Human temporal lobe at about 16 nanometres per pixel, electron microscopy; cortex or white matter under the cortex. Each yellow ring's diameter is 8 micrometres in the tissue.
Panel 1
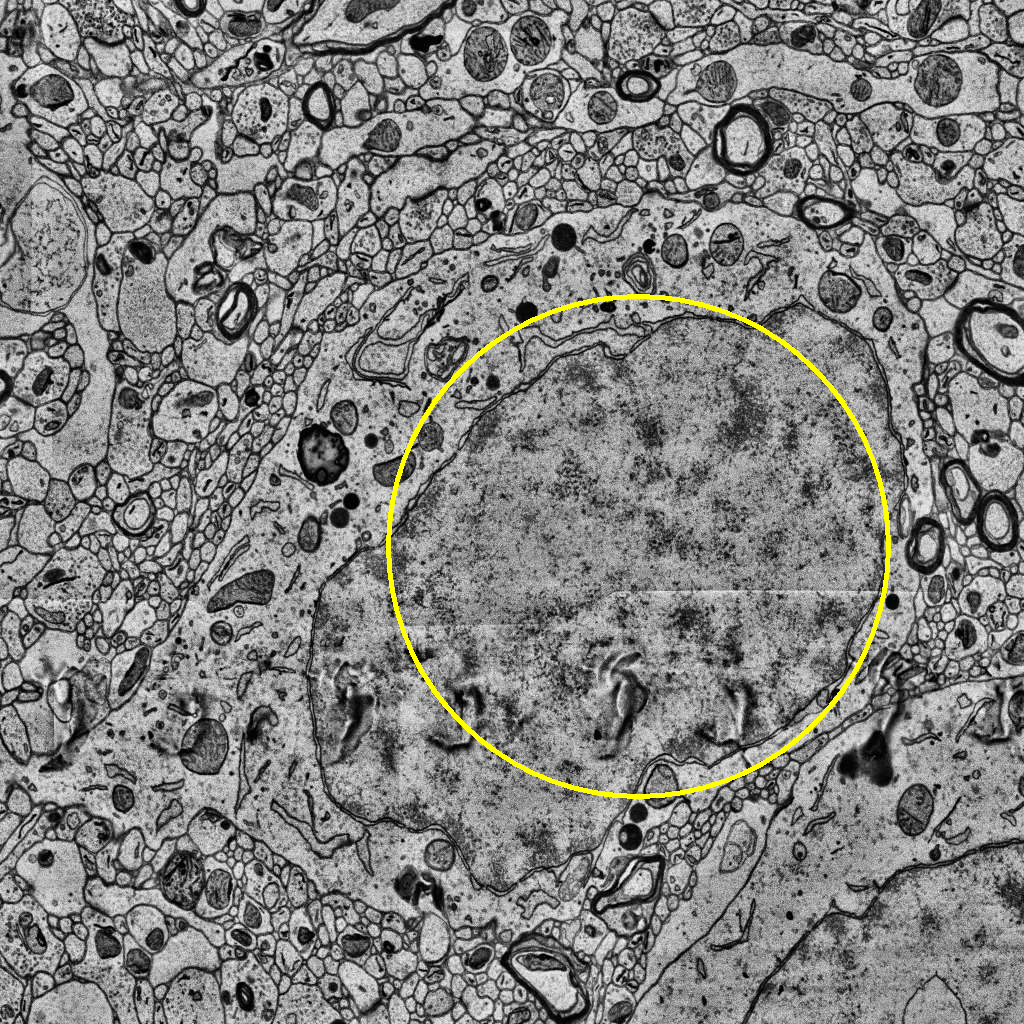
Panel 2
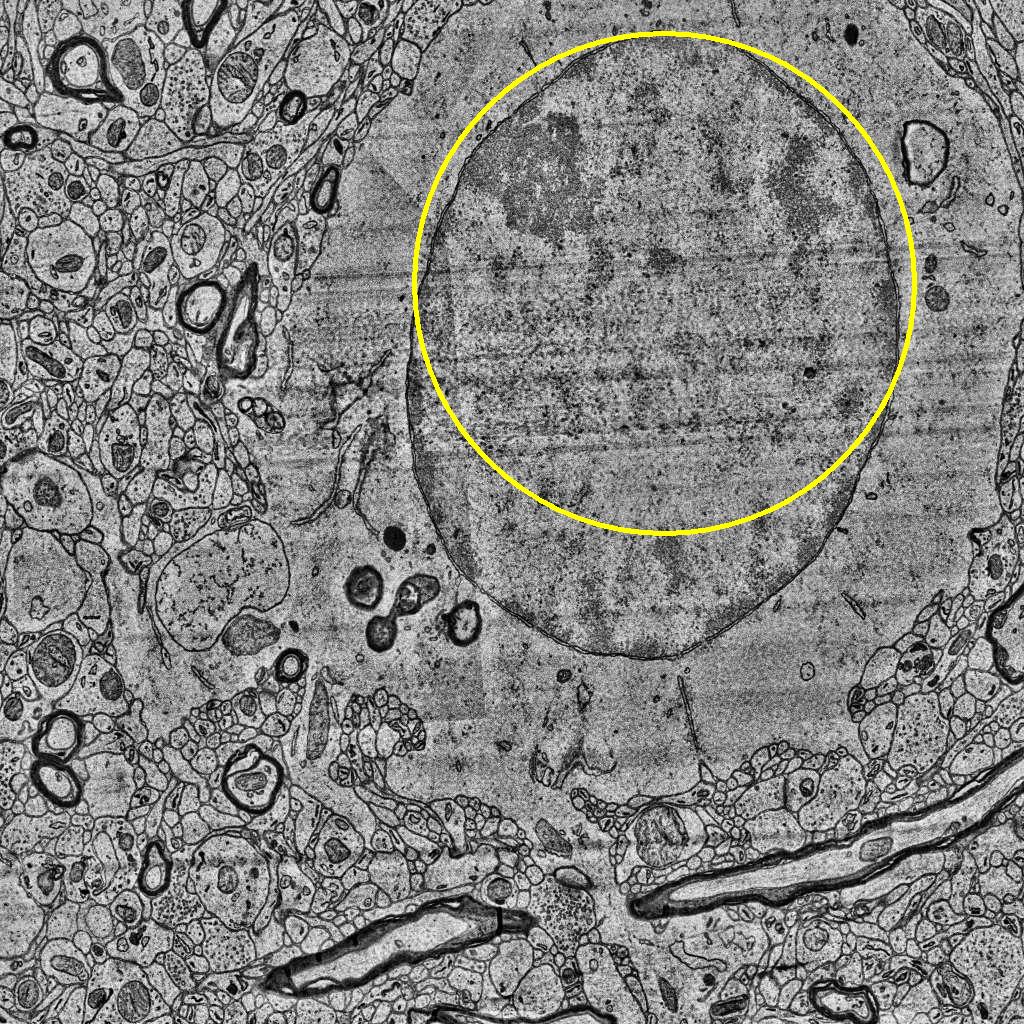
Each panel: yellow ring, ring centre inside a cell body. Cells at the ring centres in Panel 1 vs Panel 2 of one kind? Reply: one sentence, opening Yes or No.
No, Panel 1 and Panel 2 have cells of two kinds at the ring centres.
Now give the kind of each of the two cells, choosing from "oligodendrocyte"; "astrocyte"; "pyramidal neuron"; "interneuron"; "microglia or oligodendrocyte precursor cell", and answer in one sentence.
The two differ: the first cell is an interneuron and the second is an astrocyte.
